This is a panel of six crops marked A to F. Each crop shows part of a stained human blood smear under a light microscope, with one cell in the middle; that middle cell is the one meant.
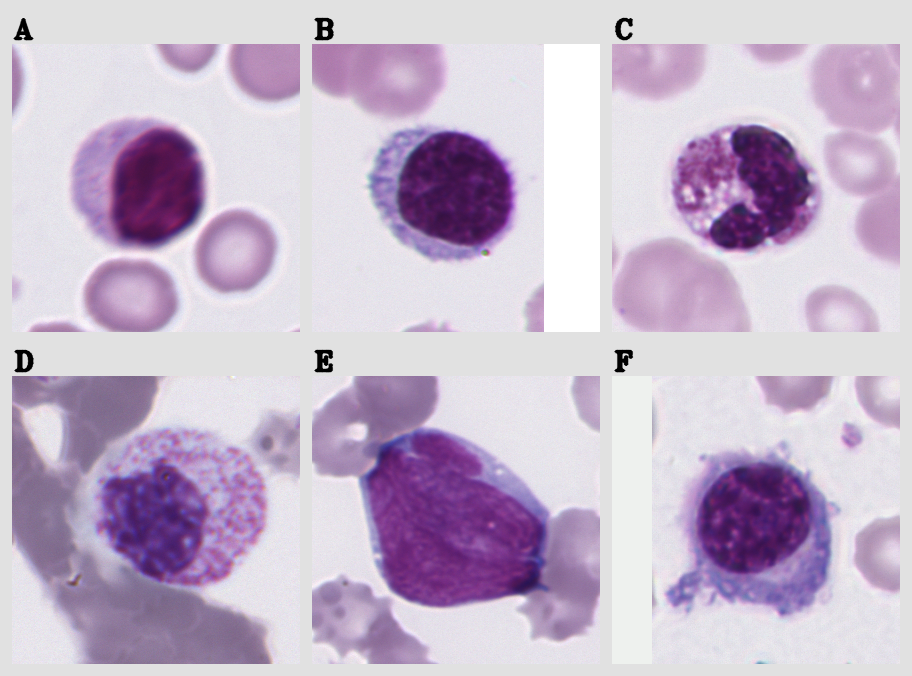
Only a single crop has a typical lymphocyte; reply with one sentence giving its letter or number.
The crop carrying a typical lymphocyte at the center is crop A.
